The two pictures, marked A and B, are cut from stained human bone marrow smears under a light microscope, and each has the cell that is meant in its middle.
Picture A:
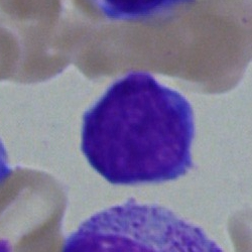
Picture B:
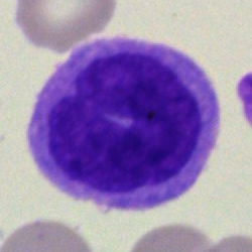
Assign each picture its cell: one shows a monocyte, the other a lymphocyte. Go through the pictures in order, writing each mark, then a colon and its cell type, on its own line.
A: lymphocyte
B: monocyte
